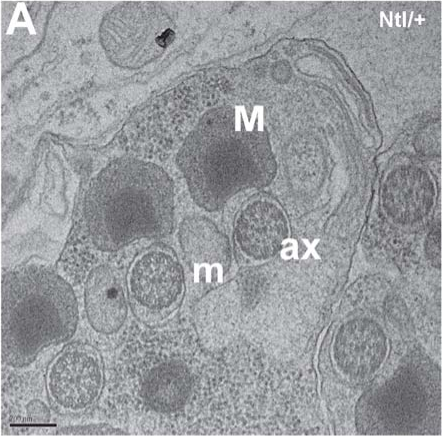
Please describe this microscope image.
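This is a transmission electron micrograph of a cyst of developing spermatids cut across their flagella. Each flagellar profile has a round axoneme showing a ring of microtubule doublets around a central pair, bounded by a membrane. Beside each axoneme lie two mitochondrial derivatives: a large one filled with dark, dense material and a smaller, paler one. Several such profiles sit together in a common cytoplasm that is crowded with fine dark granules, and the group is bordered by membranes. The flagella have not yet been separated from one another by their own membranes.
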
